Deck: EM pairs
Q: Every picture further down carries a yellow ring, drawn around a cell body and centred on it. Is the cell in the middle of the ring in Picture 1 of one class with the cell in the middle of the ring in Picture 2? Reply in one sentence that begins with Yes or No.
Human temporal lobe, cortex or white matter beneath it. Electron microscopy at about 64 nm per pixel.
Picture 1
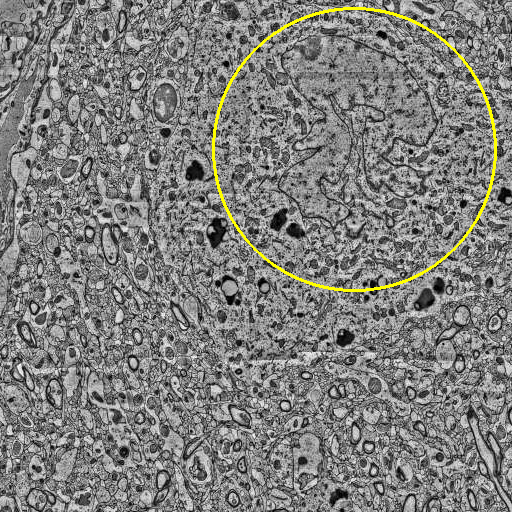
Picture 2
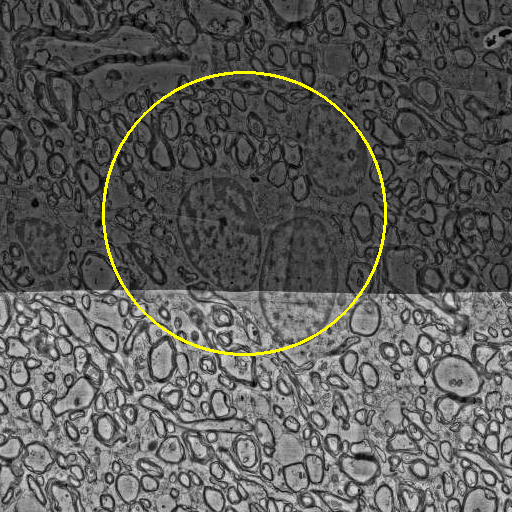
No, the cell centred in the ring of Picture 1 and the one in Picture 2 belong to separate classes.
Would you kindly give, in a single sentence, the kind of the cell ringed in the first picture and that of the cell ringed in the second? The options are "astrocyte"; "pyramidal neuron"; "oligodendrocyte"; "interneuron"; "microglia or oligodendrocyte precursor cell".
The second cell is an oligodendrocyte, and the first cell is a pyramidal neuron.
